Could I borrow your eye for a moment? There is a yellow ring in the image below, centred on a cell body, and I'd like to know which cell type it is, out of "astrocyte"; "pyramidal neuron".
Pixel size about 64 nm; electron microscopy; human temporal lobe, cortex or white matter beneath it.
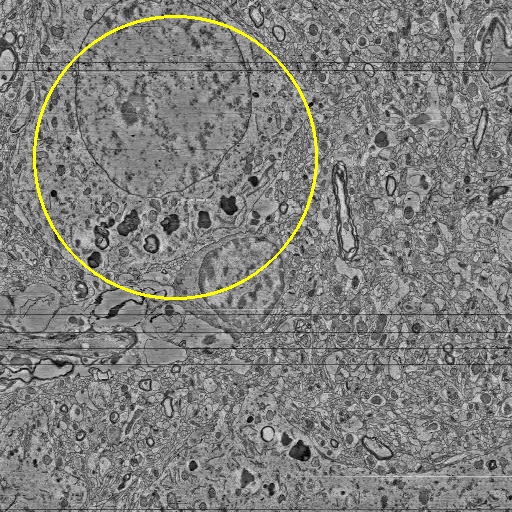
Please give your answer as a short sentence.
The cell body at the centre is that of a pyramidal neuron.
